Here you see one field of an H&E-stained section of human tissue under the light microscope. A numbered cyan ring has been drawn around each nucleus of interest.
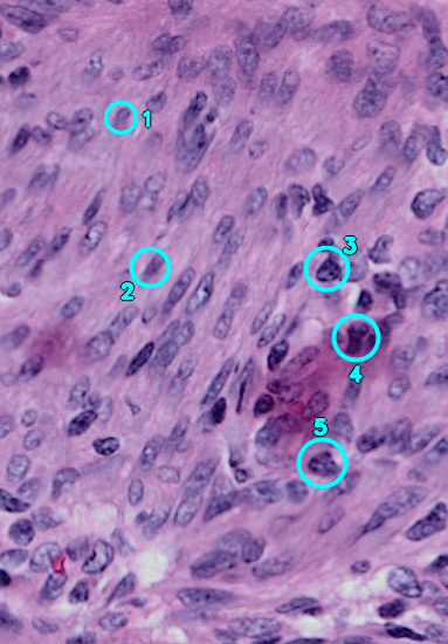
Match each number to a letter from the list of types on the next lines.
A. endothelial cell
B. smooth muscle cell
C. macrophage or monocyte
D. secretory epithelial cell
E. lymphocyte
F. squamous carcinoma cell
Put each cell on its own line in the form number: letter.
1: B
2: B
3: E
4: E
5: E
